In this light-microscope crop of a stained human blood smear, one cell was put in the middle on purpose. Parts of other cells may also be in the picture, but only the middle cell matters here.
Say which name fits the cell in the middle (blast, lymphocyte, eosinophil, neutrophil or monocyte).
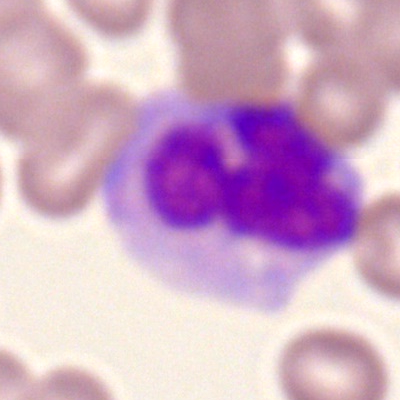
monocyte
